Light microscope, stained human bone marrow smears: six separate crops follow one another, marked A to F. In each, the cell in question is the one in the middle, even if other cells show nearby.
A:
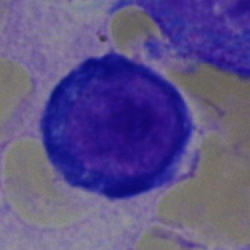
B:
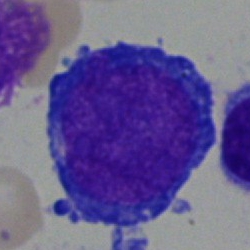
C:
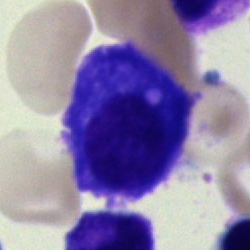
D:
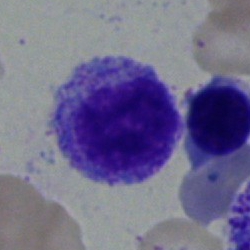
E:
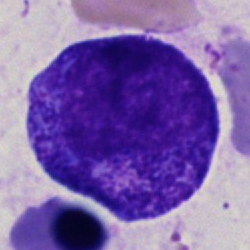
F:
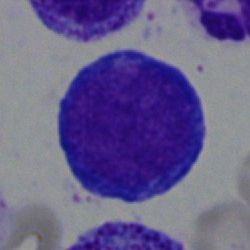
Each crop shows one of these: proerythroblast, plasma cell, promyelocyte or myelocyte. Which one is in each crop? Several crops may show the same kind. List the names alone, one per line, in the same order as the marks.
proerythroblast
proerythroblast
plasma cell
myelocyte
promyelocyte
proerythroblast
